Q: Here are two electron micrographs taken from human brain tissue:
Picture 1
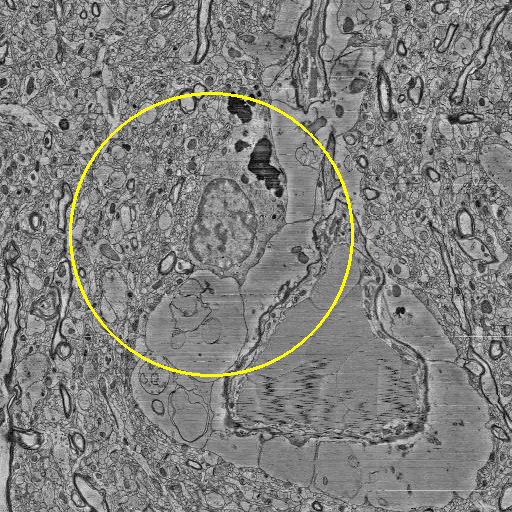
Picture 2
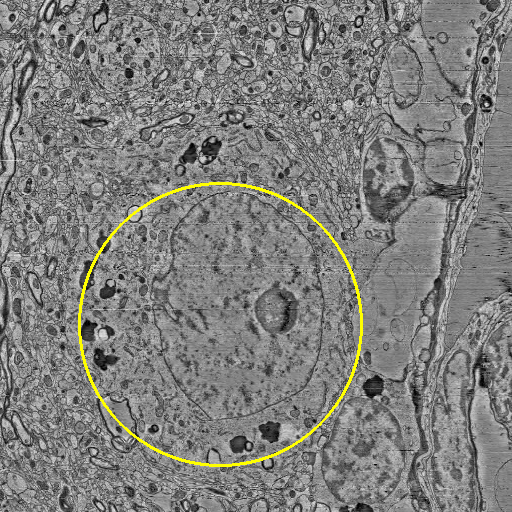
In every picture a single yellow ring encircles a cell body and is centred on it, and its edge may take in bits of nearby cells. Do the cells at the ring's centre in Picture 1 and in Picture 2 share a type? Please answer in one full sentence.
No, the cells at the ring's centre in Picture 1 and Picture 2 are of two types.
